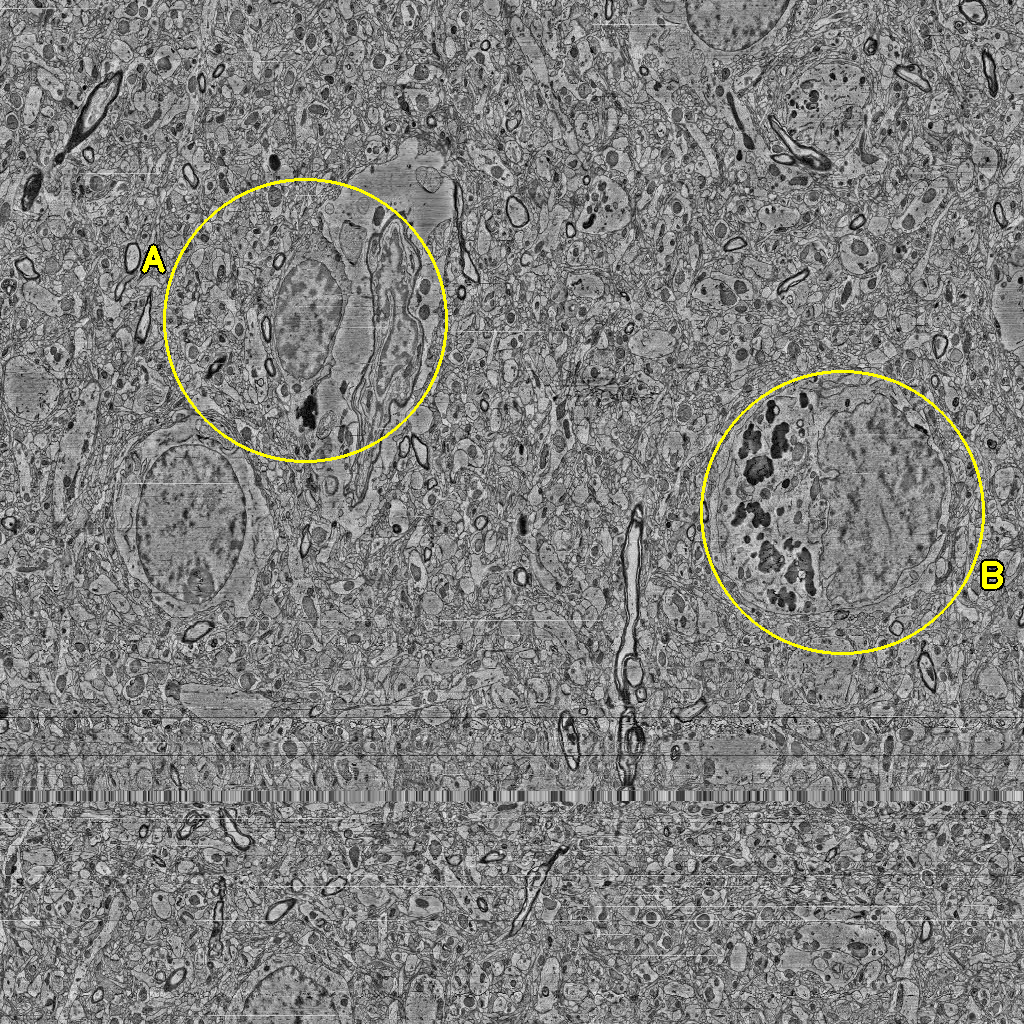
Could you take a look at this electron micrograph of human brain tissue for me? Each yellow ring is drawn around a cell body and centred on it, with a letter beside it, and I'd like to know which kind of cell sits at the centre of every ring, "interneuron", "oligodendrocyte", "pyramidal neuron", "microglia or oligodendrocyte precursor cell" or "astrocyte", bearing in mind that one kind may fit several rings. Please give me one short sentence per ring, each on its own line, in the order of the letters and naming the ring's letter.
Ring A is centred on an oligodendrocyte.
Ring B is centred on an interneuron.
